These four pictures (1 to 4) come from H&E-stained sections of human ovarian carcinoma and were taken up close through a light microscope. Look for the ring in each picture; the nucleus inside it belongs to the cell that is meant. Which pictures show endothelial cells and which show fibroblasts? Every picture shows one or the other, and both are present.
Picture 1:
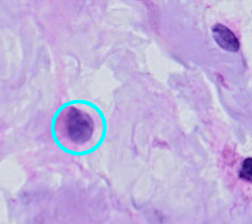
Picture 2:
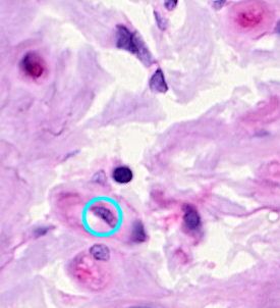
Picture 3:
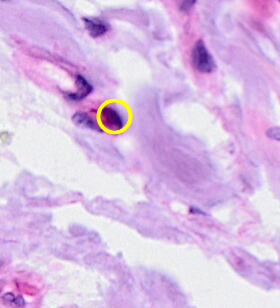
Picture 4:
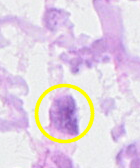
1: fibroblast
2: endothelial cell
3: endothelial cell
4: fibroblast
